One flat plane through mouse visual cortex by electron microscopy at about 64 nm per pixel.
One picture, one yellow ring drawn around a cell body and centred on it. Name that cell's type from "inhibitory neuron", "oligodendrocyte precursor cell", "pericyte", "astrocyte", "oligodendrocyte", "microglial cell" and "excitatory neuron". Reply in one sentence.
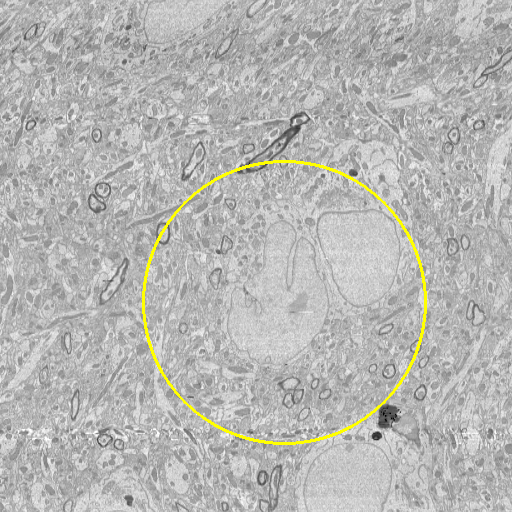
Centred in the ring is an inhibitory neuron.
